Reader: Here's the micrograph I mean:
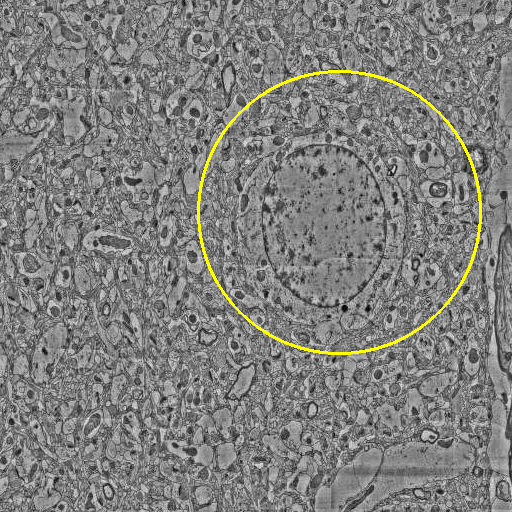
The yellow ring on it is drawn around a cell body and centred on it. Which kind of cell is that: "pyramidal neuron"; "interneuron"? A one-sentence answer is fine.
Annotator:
The ring is centred on a pyramidal neuron.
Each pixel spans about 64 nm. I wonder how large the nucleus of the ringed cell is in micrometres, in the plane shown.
About 11 by 8 micrometres in this plane.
